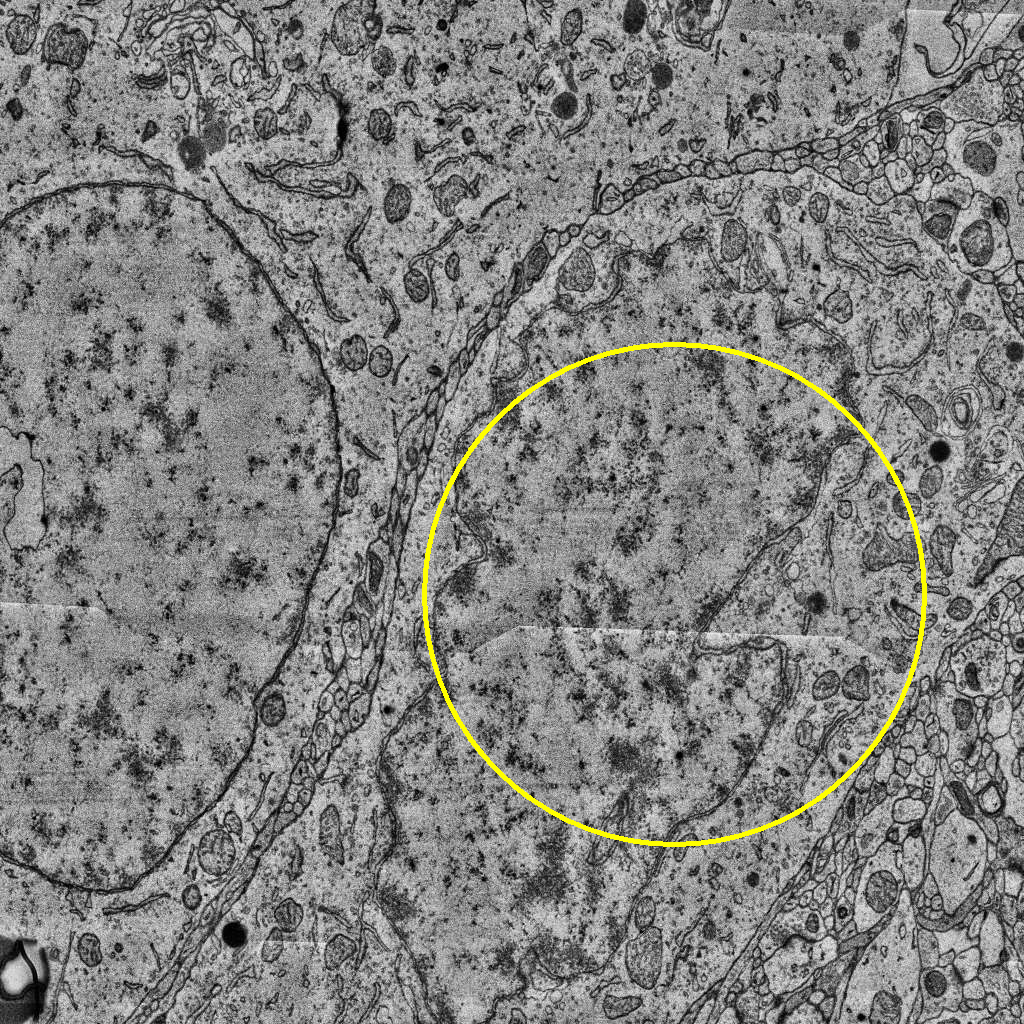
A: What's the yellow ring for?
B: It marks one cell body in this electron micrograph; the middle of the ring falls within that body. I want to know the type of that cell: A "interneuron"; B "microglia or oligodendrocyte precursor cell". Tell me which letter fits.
A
